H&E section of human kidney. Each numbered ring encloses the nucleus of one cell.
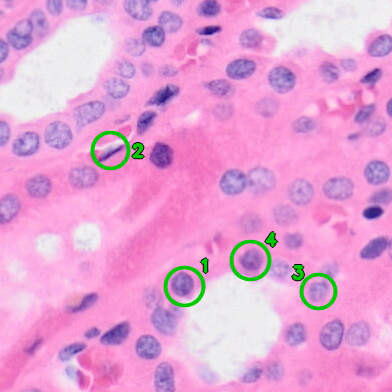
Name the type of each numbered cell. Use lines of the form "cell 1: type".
cell 1: loop of Henle or distal tubule cell
cell 2: endothelial cell
cell 3: loop of Henle or distal tubule cell
cell 4: loop of Henle or distal tubule cell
